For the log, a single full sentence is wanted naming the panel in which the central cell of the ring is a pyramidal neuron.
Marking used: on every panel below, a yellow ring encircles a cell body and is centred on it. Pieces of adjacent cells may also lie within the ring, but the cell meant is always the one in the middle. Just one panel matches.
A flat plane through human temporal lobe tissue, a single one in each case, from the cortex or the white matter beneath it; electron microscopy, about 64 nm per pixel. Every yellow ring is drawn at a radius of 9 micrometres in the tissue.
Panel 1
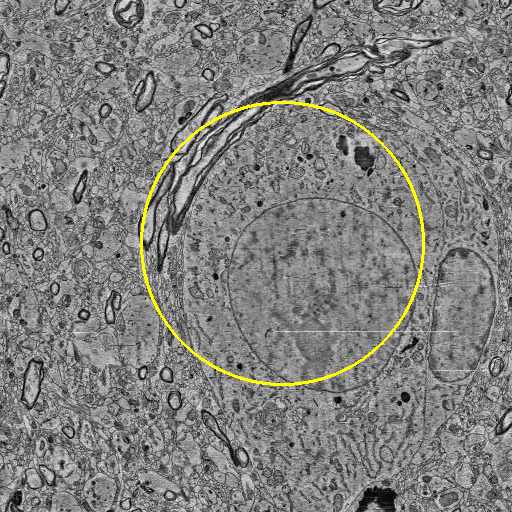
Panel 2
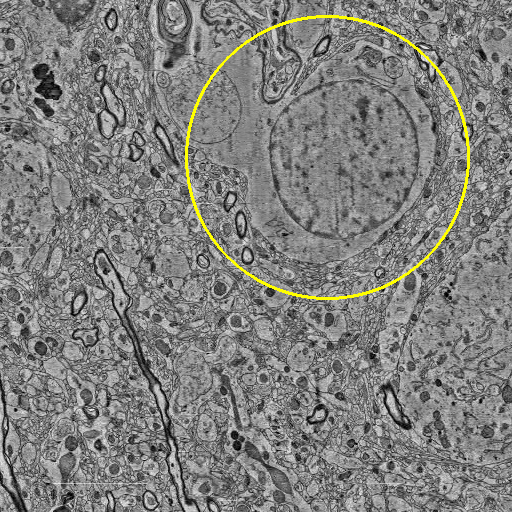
The cell in the middle of the ring in panel 1 is the one asked for.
